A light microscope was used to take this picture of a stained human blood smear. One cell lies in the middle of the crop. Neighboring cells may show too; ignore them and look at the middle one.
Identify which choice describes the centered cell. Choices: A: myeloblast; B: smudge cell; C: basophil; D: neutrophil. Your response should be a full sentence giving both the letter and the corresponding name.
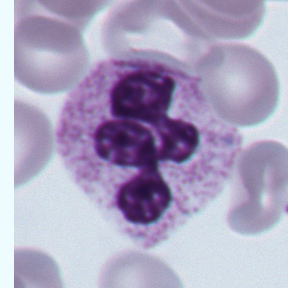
The correct choice is option D, which identifies the middle cell as a neutrophil.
